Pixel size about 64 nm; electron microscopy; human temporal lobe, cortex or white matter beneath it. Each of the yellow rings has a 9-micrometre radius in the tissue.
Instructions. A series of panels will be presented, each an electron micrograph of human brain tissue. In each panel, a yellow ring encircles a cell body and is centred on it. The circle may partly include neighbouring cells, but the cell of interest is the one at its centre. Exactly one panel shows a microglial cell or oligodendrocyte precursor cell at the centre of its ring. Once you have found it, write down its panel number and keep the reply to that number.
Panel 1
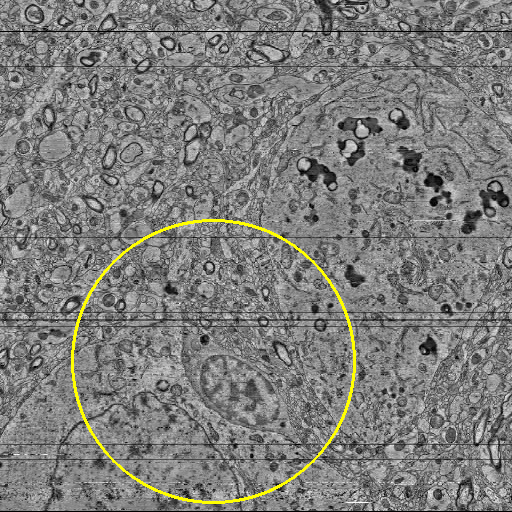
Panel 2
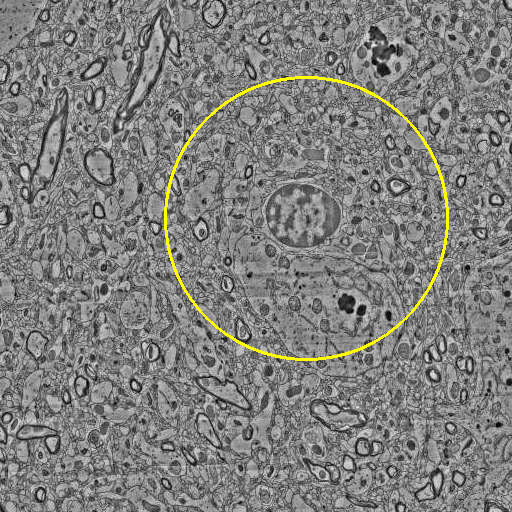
2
